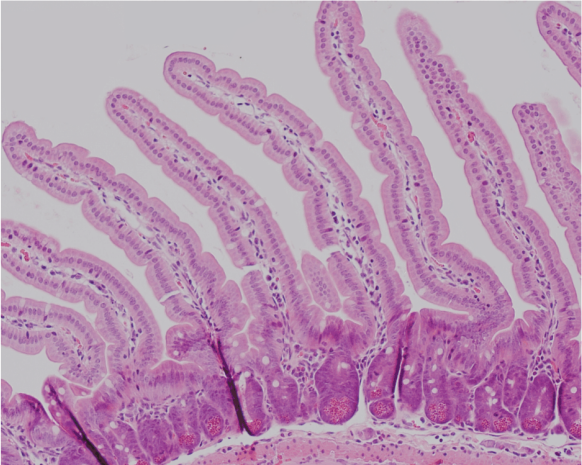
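This is a section of small intestinal mucosa with long, slender, evenly spaced villi rising above a row of short crypts. Each villus is covered by a single layer of tall columnar enterocytes with basal purple nuclei and pink cytoplasm, and a few pale goblet cells are scattered among them. The villus cores are narrow strips of lamina propria with sparse nuclei and small capillaries containing red cells. At the bases of the crypts, cells packed with bright red-orange granules sit, fitting Paneth cells. Beneath the crypts a thin band of pink smooth muscle runs along the lower edge.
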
